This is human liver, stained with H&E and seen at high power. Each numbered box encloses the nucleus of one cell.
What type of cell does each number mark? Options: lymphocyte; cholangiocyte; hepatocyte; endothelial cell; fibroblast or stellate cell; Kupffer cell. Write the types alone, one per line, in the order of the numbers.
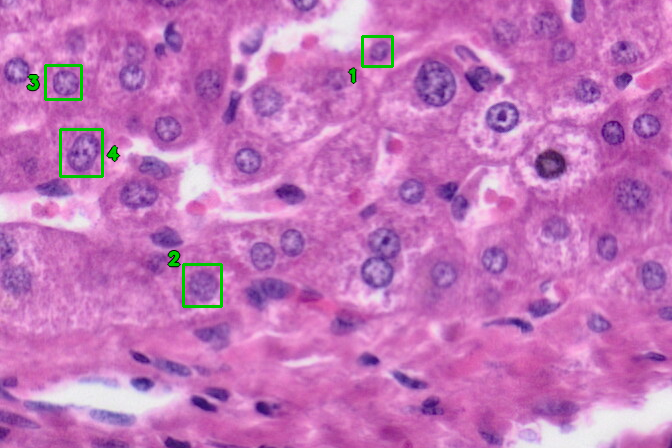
Kupffer cell
hepatocyte
hepatocyte
hepatocyte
